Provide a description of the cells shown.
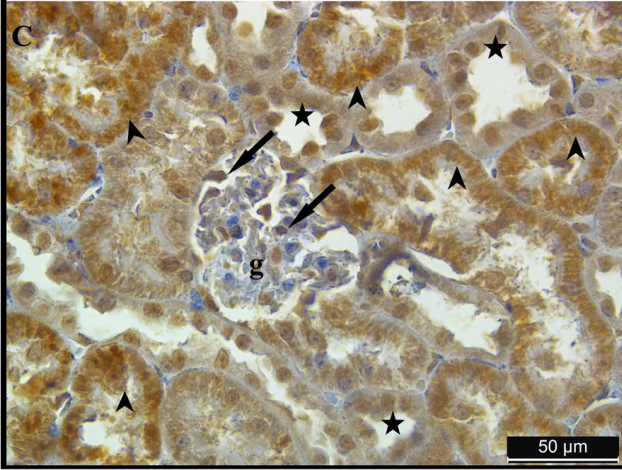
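This is renal cortex with a glomerulus surrounded by convoluted tubules. The tubules are lined by a single layer of cuboidal cells whose cytoplasm is strongly stained brown, in places granular and darker toward the base. Many nuclei within the tubule cells are also brown rather than blue. The glomerulus sits in a clear capsular space, and some cells on the surface of its capillary tuft are tinged brown.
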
